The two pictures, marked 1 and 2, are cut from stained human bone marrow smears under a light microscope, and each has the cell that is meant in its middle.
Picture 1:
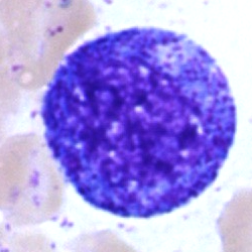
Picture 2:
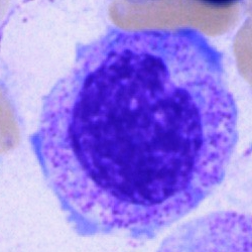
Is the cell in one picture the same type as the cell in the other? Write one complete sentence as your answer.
Yes, the two pictures both show promyelocytes.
